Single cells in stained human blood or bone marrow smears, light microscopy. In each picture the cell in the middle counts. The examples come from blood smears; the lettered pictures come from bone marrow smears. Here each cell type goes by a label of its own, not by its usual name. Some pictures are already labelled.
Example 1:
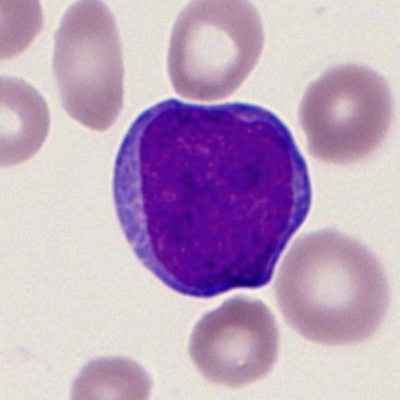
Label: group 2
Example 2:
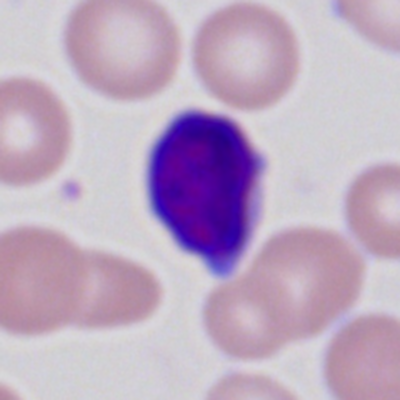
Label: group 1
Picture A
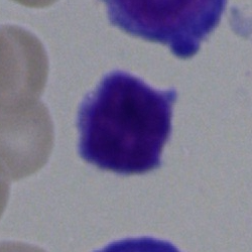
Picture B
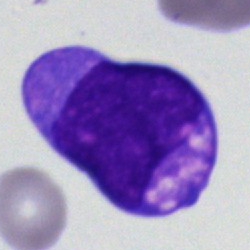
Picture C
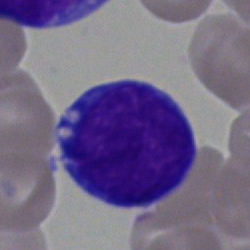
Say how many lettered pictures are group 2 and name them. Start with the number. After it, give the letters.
Count: 2 (B, C)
